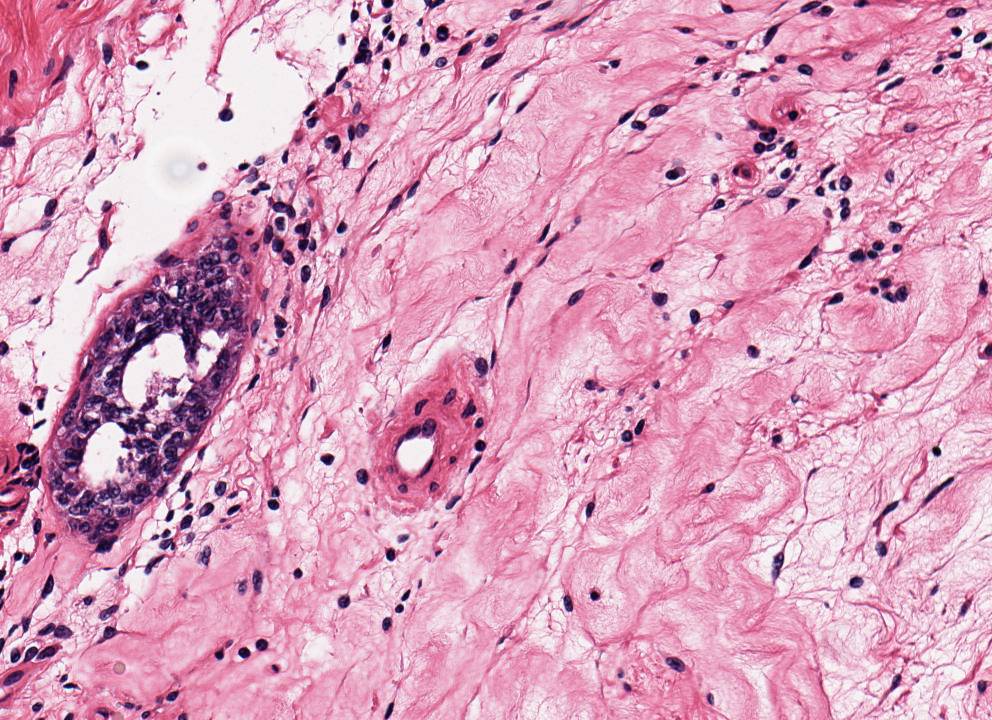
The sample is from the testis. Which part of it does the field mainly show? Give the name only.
loose connective tissue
